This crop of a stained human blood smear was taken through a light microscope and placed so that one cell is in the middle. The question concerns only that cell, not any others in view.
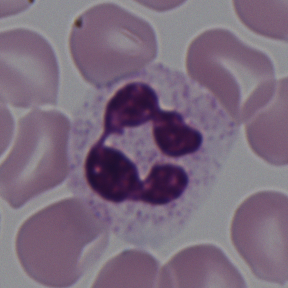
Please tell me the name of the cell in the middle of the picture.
neutrophil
